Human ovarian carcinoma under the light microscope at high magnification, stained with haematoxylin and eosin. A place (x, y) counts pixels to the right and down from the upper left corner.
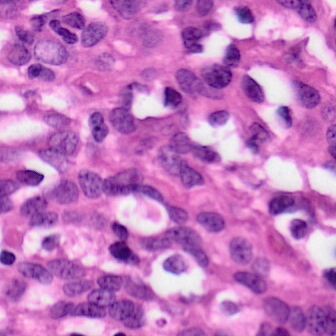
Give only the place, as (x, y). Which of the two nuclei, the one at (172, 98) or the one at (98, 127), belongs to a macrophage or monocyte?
(98, 127)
